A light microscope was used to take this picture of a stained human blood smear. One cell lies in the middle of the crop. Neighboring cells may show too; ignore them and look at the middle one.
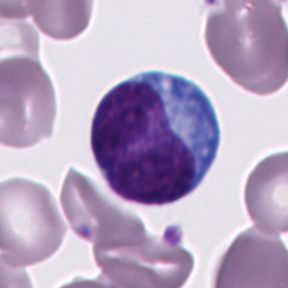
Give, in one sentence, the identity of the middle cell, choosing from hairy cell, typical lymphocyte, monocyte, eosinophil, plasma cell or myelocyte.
Present in the middle of the crop is a typical lymphocyte.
